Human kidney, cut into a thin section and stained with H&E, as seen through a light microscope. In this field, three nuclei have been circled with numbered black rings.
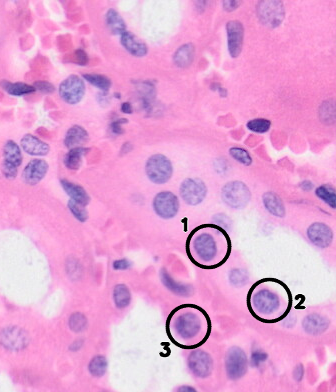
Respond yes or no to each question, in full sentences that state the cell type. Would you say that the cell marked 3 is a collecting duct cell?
No, cell 3 is a loop of Henle or distal tubule cell, not a collecting duct cell.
